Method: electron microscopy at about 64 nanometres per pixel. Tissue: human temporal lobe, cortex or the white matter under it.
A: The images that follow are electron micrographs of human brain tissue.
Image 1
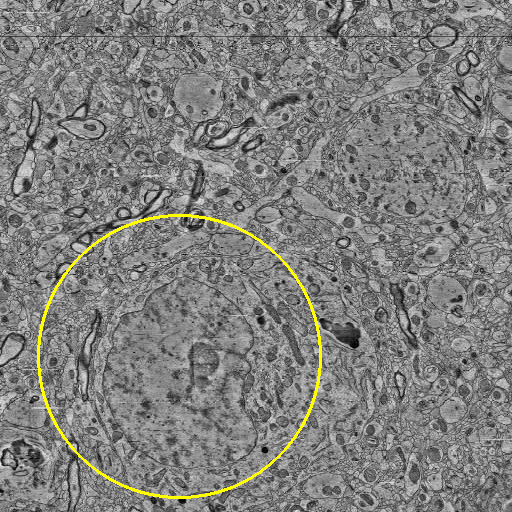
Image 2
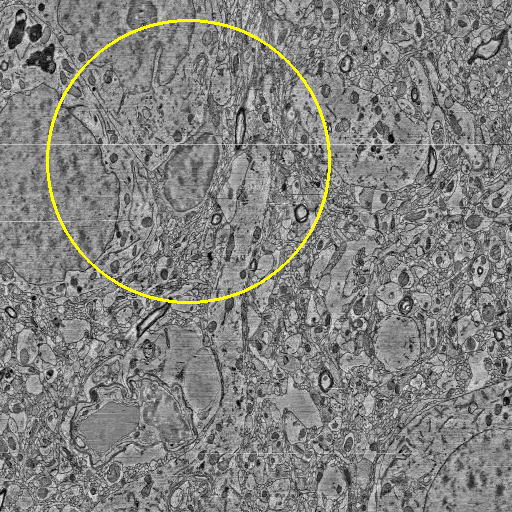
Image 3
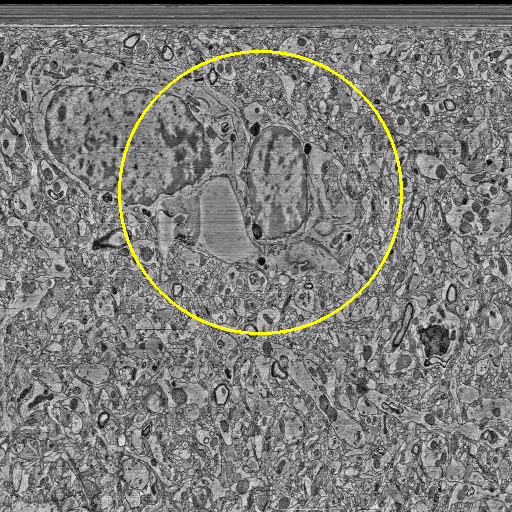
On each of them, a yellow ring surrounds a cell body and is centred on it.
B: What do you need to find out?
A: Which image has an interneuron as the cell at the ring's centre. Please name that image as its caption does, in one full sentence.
Image 1 is the one whose ring has the sought cell at its centre.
